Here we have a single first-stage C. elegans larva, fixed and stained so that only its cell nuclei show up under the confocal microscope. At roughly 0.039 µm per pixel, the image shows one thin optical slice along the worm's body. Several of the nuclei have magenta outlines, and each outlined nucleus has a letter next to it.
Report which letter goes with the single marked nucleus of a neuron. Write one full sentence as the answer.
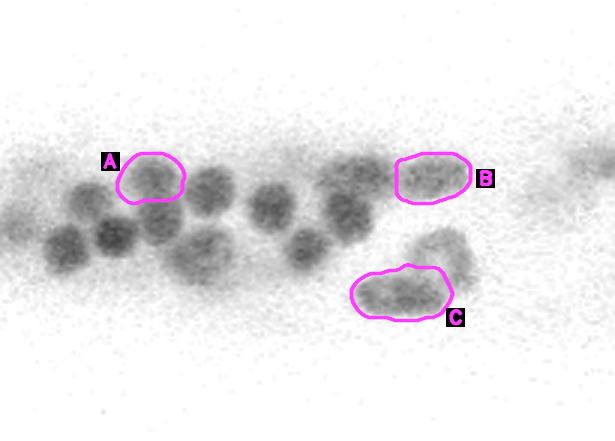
A is the one that belongs to a neuron.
